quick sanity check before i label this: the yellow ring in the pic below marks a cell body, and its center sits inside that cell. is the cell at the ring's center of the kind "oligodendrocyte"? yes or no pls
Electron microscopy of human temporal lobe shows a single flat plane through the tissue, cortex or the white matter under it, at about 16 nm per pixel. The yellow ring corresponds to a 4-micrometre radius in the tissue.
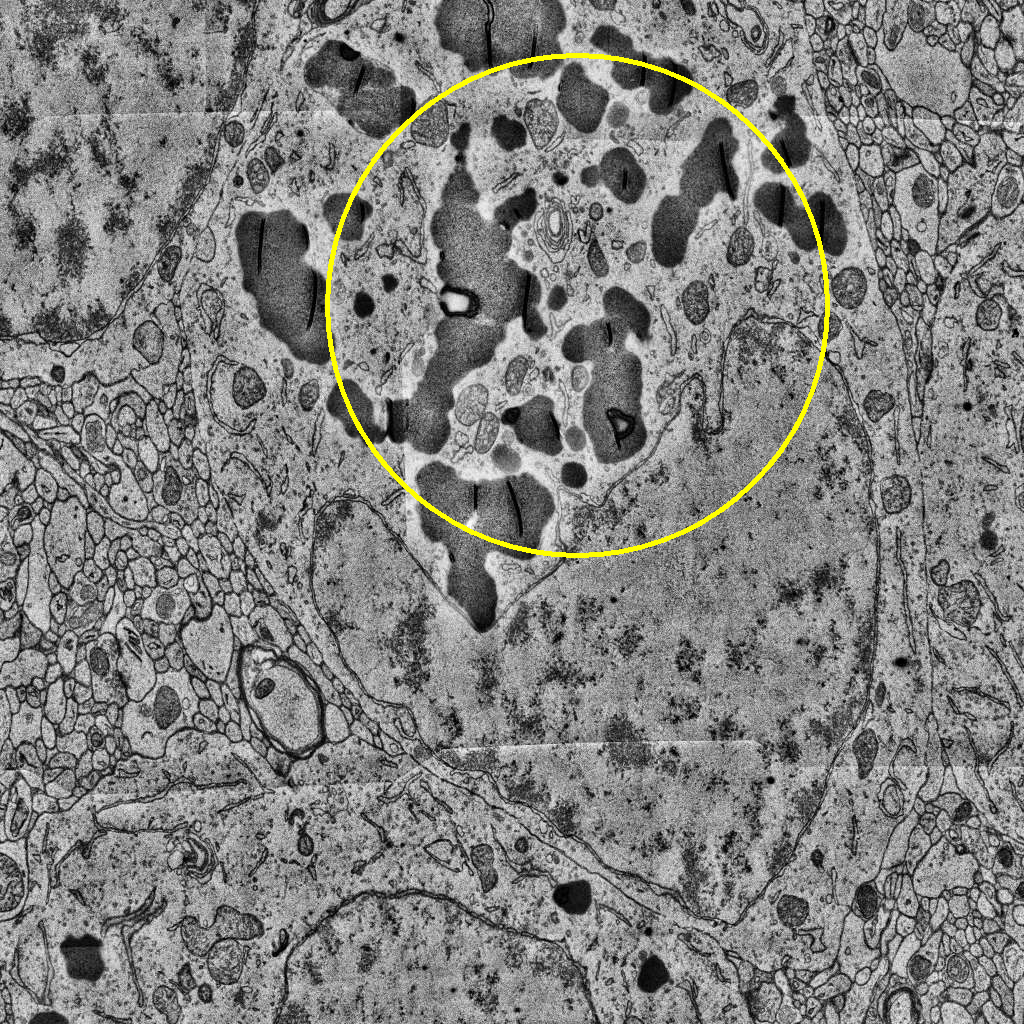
no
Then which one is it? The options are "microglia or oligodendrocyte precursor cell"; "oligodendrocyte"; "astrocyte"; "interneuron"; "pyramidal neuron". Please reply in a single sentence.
Instead, the cell at the centre of the yellow ring is an interneuron.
